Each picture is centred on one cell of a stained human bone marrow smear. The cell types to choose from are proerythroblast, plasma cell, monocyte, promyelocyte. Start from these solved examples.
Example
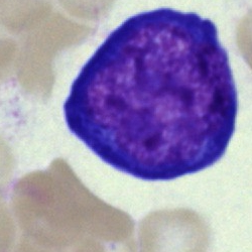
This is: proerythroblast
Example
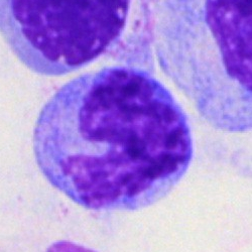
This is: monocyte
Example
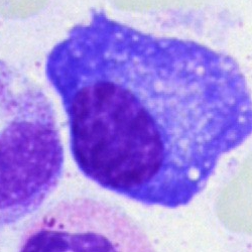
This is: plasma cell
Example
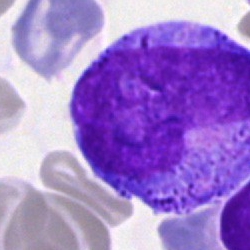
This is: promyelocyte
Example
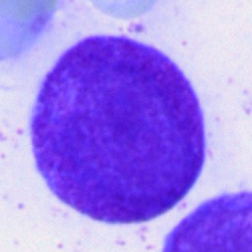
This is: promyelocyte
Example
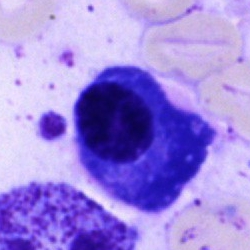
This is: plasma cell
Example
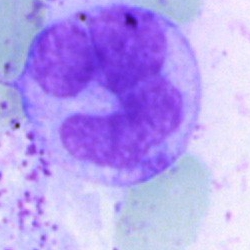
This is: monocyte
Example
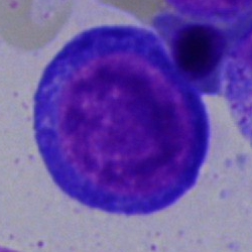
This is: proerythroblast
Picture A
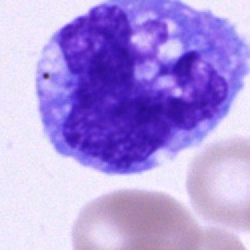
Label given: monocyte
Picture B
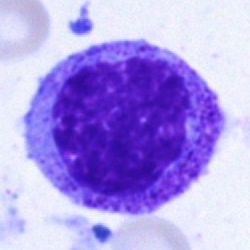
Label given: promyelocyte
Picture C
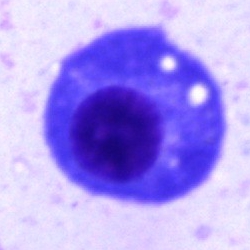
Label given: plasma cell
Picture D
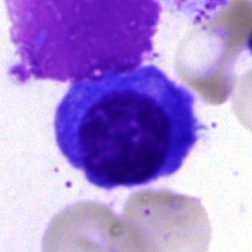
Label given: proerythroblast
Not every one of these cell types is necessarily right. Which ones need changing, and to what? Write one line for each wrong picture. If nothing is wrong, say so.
D: not proerythroblast but plasma cell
